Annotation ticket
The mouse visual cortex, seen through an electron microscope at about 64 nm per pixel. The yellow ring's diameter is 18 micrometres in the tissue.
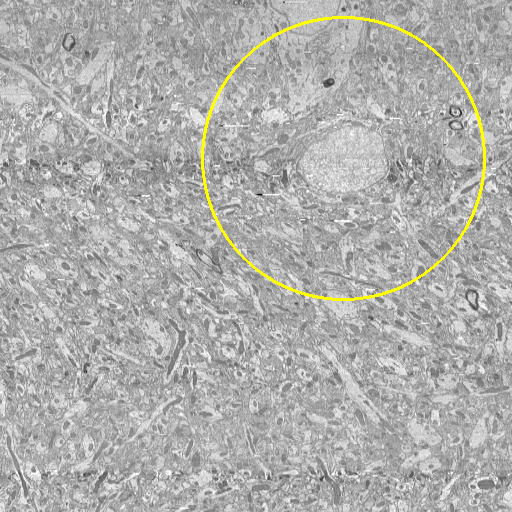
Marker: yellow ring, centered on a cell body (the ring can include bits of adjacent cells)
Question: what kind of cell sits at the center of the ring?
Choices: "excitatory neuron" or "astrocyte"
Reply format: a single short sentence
The ring is centered on an astrocyte.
